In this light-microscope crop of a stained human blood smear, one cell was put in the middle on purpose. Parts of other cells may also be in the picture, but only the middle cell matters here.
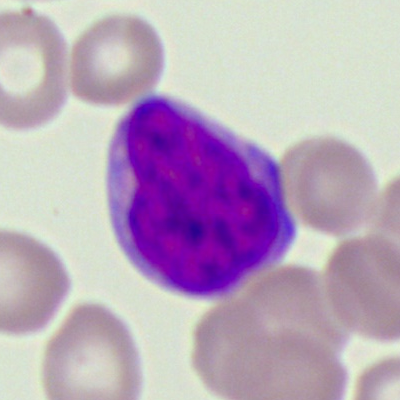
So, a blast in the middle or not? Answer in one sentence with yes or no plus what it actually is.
Yes, what sits in the centre of the crop is a blast.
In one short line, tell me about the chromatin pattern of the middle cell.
In this nucleus, the chromatin is arranged in coarse clumps.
